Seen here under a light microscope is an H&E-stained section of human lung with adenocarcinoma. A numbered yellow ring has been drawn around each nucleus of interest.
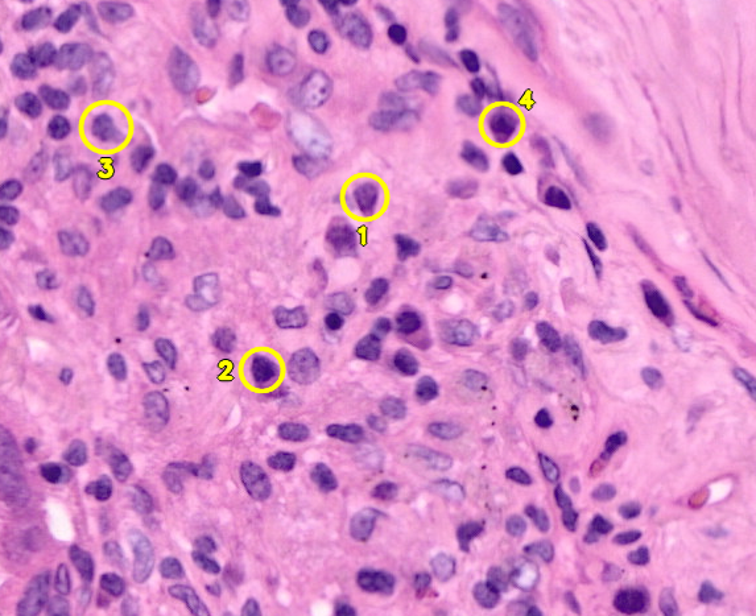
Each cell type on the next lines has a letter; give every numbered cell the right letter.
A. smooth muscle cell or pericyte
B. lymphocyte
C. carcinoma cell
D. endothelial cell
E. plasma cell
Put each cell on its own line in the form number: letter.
1: E
2: E
3: B
4: E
